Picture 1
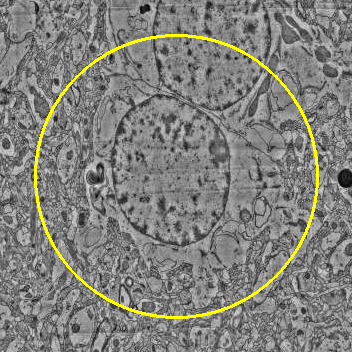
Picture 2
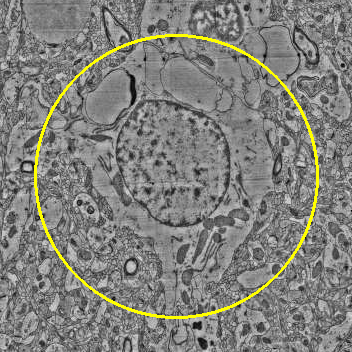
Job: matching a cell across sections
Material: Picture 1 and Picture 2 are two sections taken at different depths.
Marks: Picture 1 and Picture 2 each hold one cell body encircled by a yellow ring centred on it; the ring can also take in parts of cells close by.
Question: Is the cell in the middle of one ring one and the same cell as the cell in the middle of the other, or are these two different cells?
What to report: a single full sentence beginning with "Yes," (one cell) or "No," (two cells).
Yes, both yellow rings were placed on the same cell.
